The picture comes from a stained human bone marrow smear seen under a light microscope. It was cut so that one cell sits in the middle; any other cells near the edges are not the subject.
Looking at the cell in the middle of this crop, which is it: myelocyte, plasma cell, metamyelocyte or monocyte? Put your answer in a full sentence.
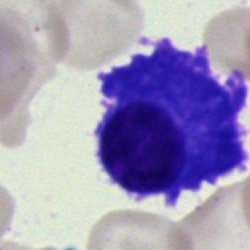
By type, the central cell of the crop is a plasma cell.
